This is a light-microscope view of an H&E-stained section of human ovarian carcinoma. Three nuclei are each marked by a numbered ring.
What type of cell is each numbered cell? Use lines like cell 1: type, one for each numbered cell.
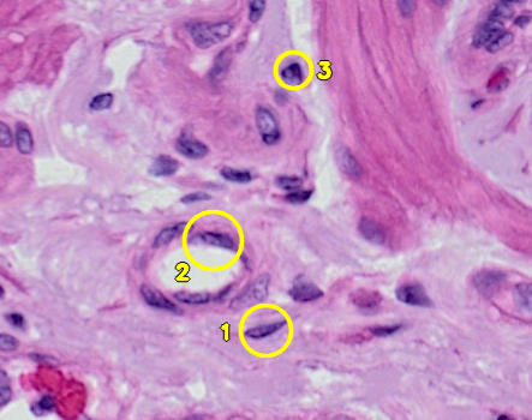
cell 1: fibroblast
cell 2: endothelial cell
cell 3: lymphocyte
